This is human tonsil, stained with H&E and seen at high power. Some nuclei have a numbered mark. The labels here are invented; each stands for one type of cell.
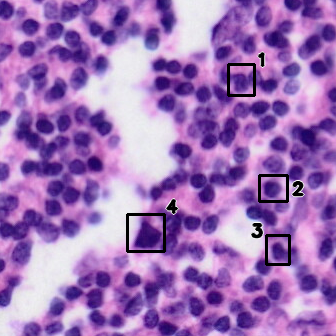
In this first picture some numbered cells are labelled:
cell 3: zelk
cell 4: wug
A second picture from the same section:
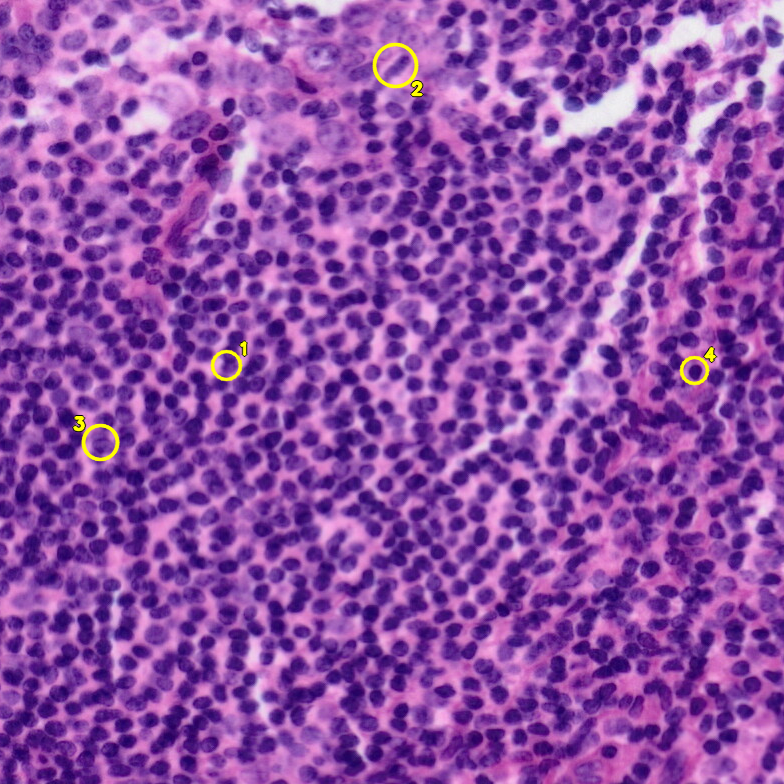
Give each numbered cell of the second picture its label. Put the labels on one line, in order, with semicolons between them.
zelk; wug; zelk; zelk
